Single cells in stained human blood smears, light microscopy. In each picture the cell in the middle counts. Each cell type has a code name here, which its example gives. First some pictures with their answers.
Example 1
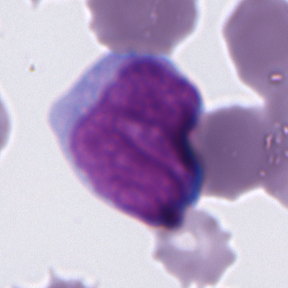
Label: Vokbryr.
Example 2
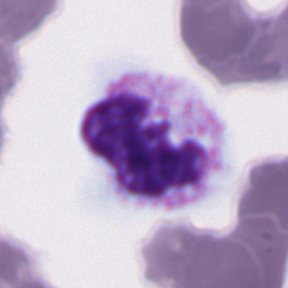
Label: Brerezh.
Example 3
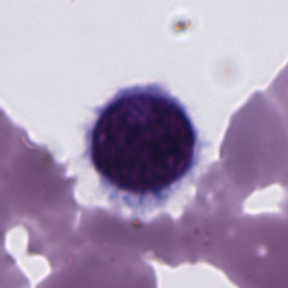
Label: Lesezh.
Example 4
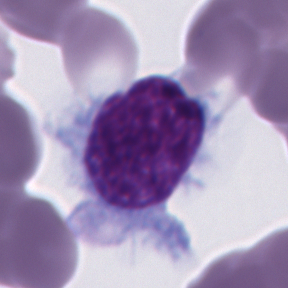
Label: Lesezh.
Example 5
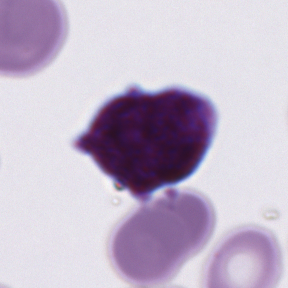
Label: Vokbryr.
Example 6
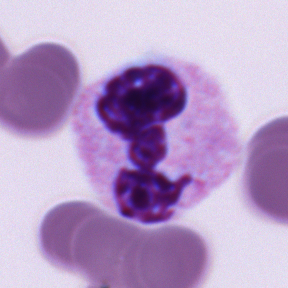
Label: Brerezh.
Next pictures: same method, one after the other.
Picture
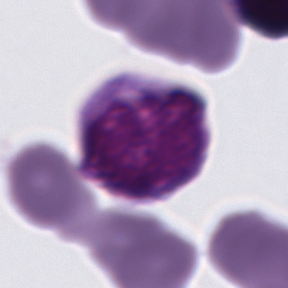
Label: Vokbryr.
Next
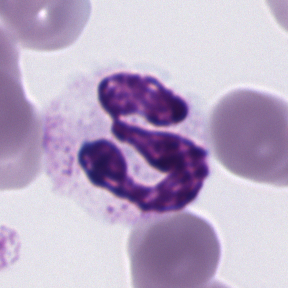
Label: Brerezh.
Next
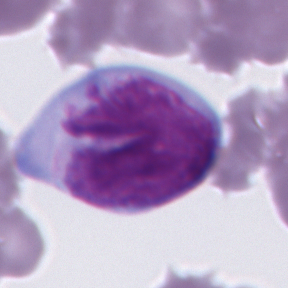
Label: Vokbryr.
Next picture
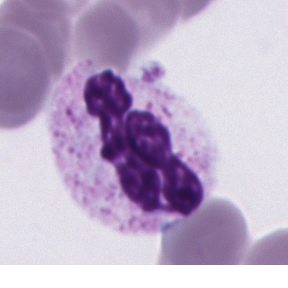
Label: Brerezh.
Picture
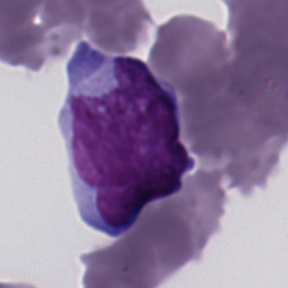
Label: Vokbryr.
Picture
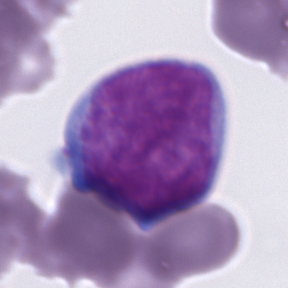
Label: Vokbryr.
